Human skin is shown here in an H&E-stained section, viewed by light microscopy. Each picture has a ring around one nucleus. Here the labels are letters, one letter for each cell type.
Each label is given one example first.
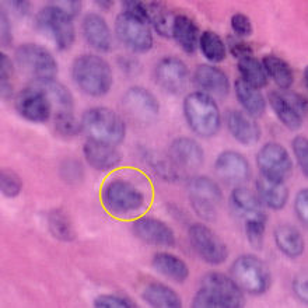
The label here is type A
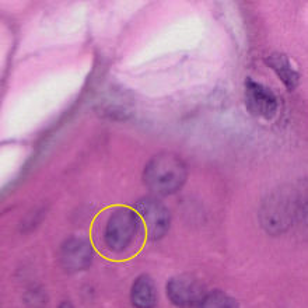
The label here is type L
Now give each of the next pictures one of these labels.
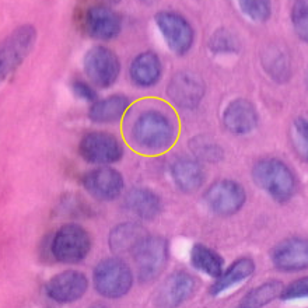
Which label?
type L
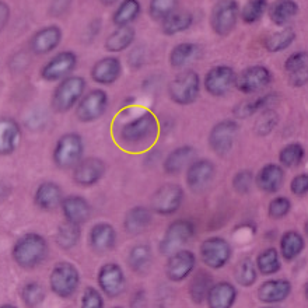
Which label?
type L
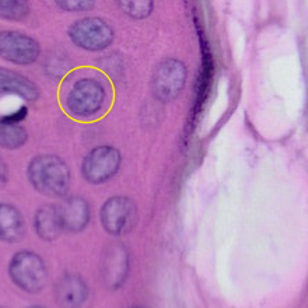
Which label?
type L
